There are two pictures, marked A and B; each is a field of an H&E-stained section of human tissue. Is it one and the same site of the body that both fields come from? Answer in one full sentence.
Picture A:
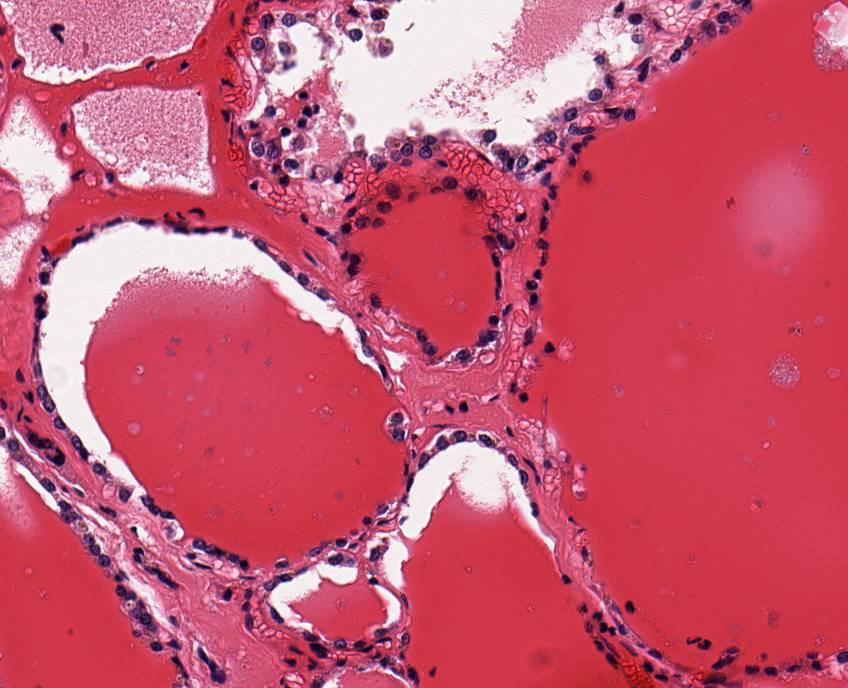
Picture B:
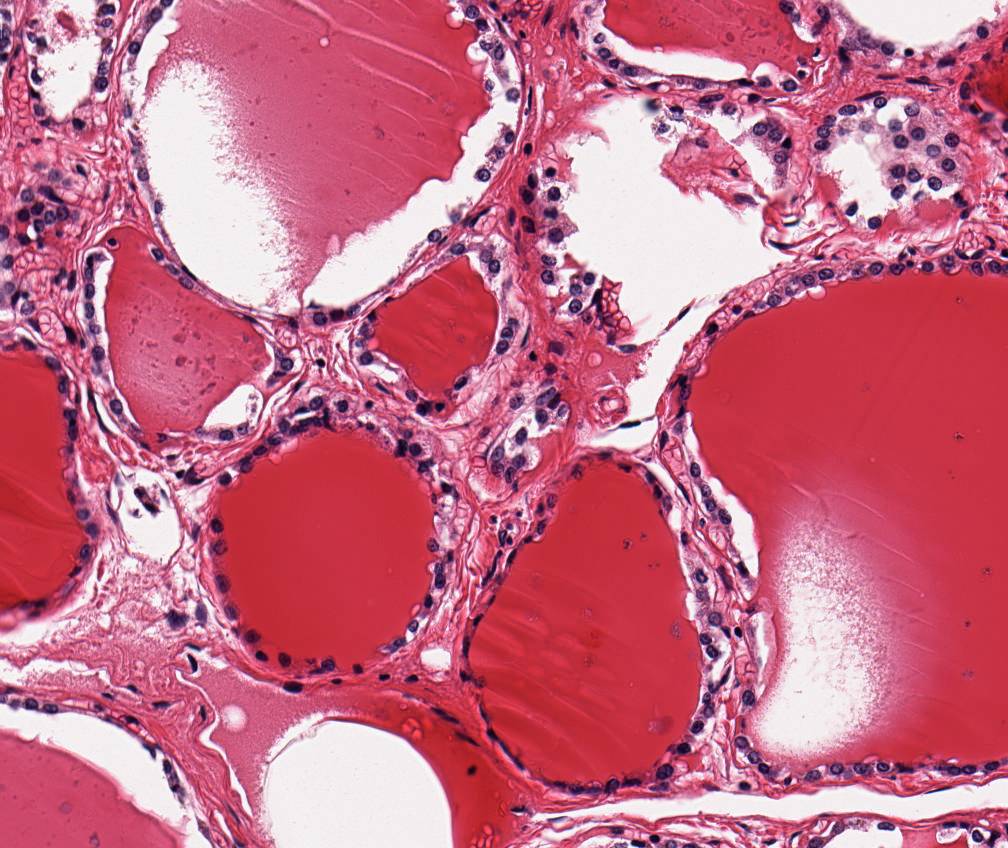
Yes; both pictures come from the thyroid.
